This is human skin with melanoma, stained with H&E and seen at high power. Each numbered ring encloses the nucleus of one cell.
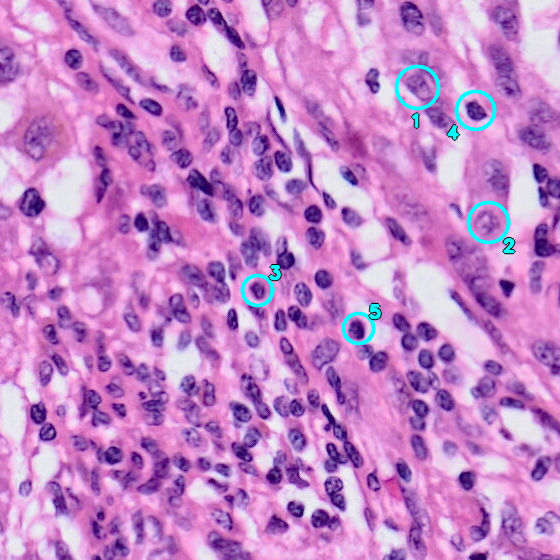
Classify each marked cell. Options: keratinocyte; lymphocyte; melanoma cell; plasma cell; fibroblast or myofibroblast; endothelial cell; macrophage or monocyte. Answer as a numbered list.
1. melanoma cell
2. melanoma cell
3. lymphocyte
4. lymphocyte
5. lymphocyte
